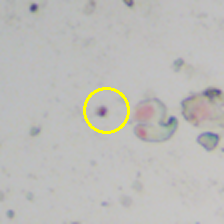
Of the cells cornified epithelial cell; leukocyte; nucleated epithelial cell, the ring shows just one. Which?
The ring shows a leukocyte.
